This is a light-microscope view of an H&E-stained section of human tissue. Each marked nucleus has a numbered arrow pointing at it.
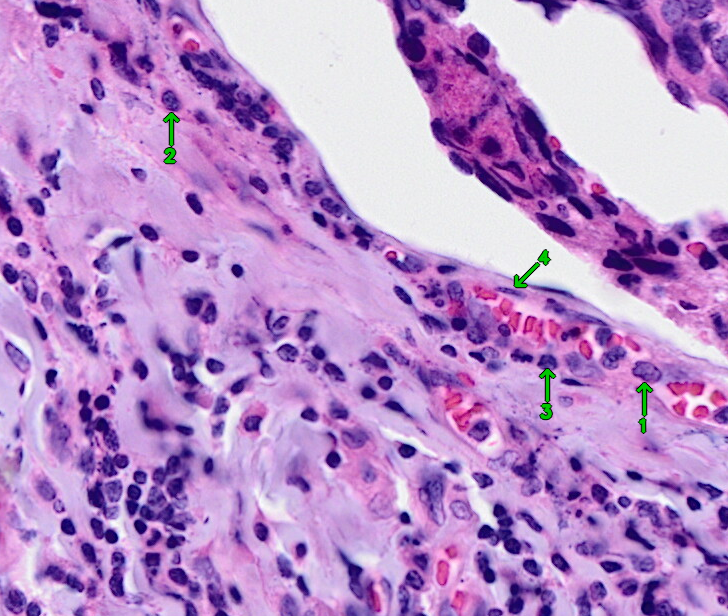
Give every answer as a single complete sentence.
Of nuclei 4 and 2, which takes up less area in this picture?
Number 4 is smaller, since number 2 takes up about 2 times as much area.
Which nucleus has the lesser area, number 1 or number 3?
Number 3 is smaller, since number 1 takes up about 1.5 times as much area.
